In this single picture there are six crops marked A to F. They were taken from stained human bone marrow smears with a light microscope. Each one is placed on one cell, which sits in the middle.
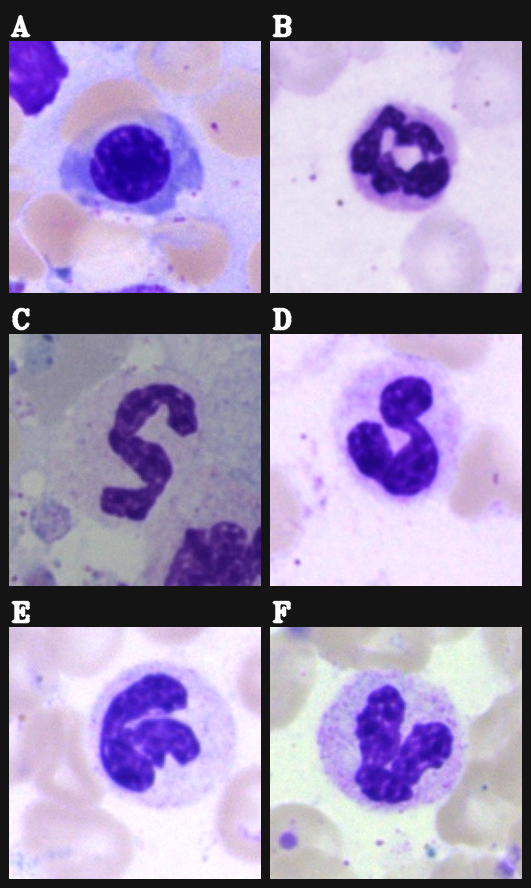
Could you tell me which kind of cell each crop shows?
A: erythroblast
B: segmented neutrophil
C: segmented neutrophil
D: segmented neutrophil
E: segmented neutrophil
F: segmented neutrophil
